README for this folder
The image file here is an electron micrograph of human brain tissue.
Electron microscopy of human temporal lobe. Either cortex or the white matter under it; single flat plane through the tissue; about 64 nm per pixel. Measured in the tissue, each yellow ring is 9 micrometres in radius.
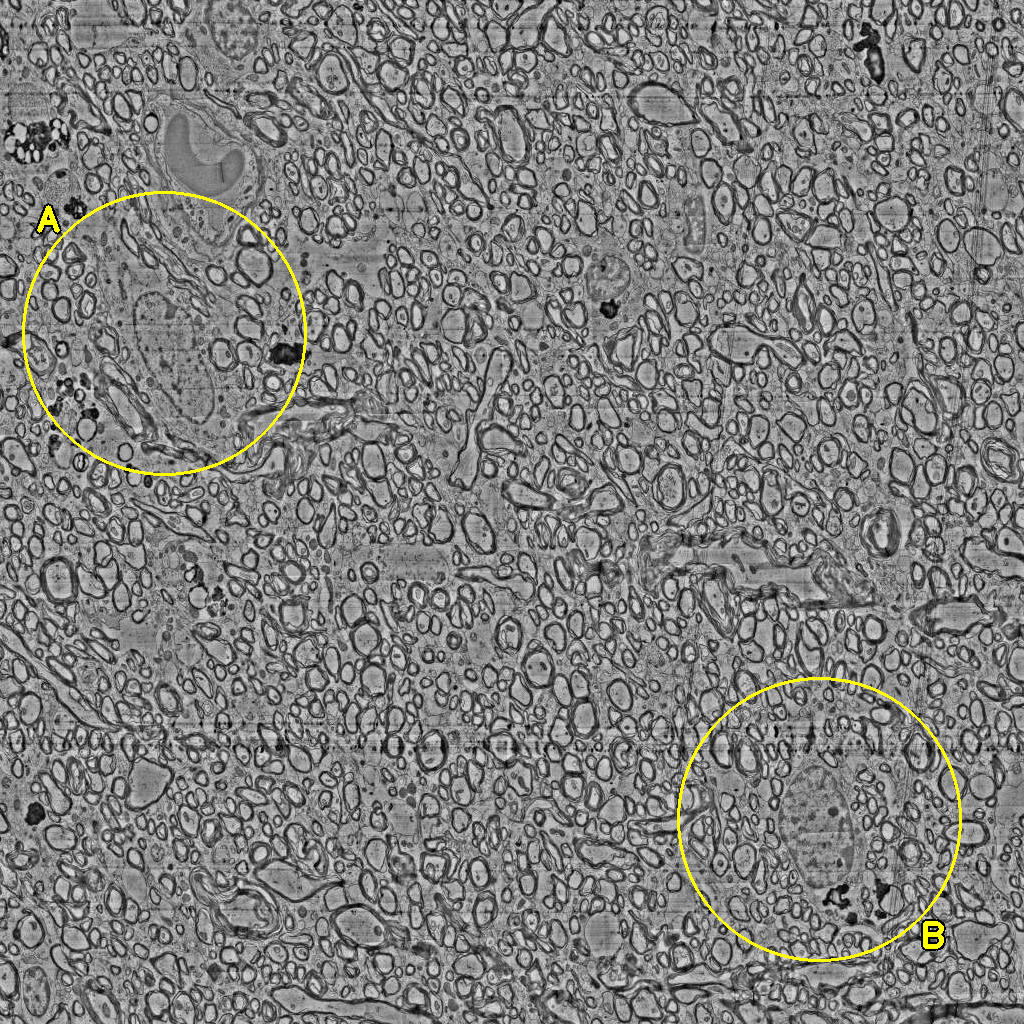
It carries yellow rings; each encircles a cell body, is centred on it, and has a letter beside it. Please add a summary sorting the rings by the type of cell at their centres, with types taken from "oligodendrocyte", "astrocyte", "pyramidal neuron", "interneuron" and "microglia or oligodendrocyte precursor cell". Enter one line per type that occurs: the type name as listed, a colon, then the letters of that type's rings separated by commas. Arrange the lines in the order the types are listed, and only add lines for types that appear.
oligodendrocyte: B
astrocyte: A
